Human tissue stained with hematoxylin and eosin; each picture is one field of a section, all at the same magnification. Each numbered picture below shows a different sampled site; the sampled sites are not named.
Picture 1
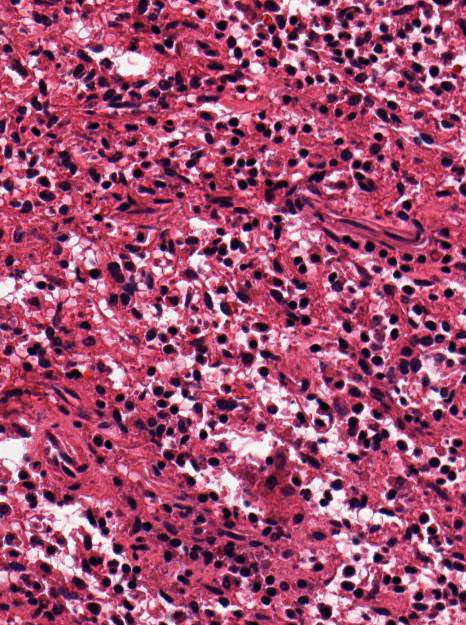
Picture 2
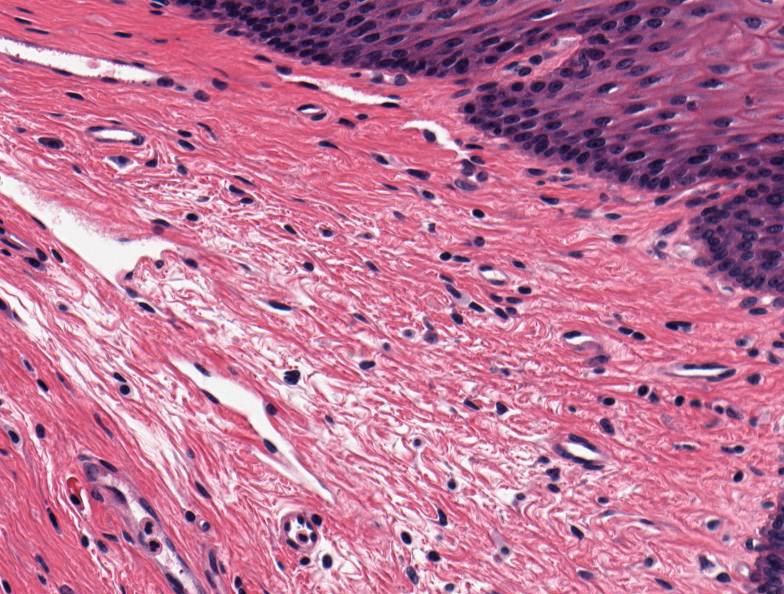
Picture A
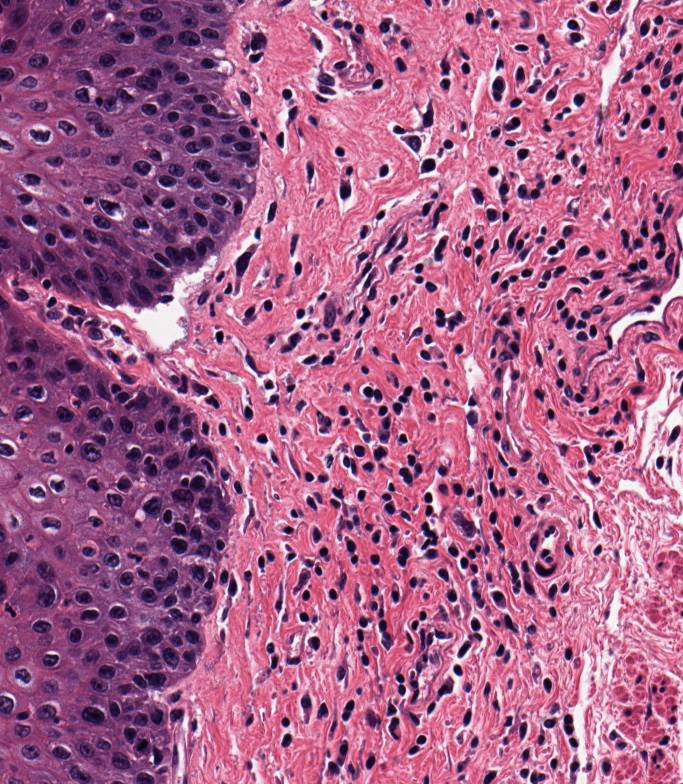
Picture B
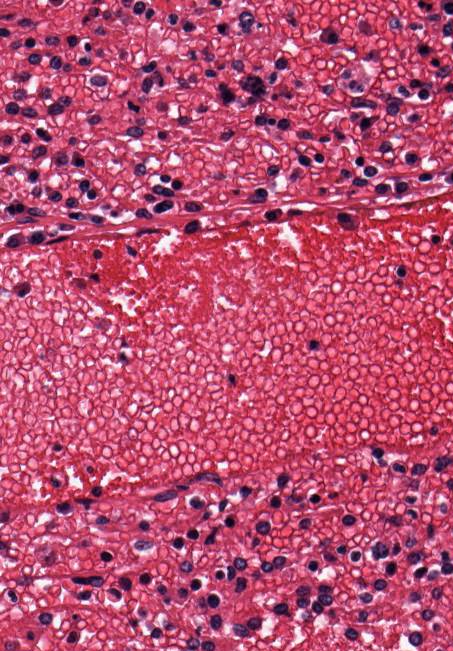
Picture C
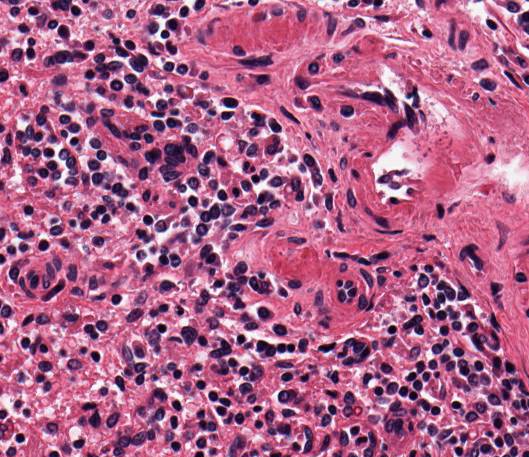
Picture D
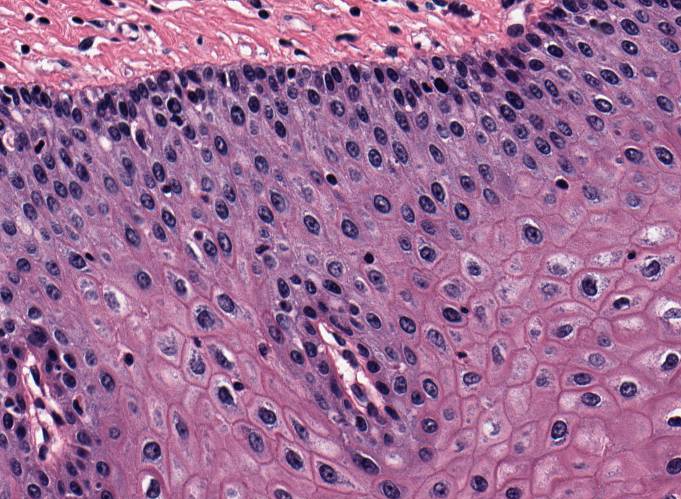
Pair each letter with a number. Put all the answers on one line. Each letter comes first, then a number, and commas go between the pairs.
A 2, B 1, C 1, D 2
